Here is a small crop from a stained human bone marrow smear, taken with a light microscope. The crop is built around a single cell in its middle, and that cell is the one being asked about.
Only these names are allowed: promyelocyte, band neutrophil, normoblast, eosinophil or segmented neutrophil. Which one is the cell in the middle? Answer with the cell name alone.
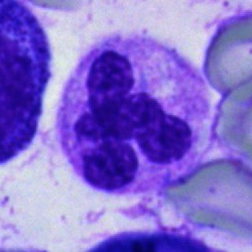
segmented neutrophil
